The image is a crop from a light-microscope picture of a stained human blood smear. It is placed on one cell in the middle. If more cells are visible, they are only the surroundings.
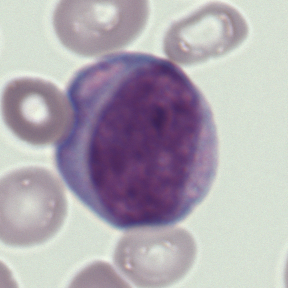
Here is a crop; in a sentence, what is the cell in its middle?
The crop shows an atypical promyelocyte in its centre.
